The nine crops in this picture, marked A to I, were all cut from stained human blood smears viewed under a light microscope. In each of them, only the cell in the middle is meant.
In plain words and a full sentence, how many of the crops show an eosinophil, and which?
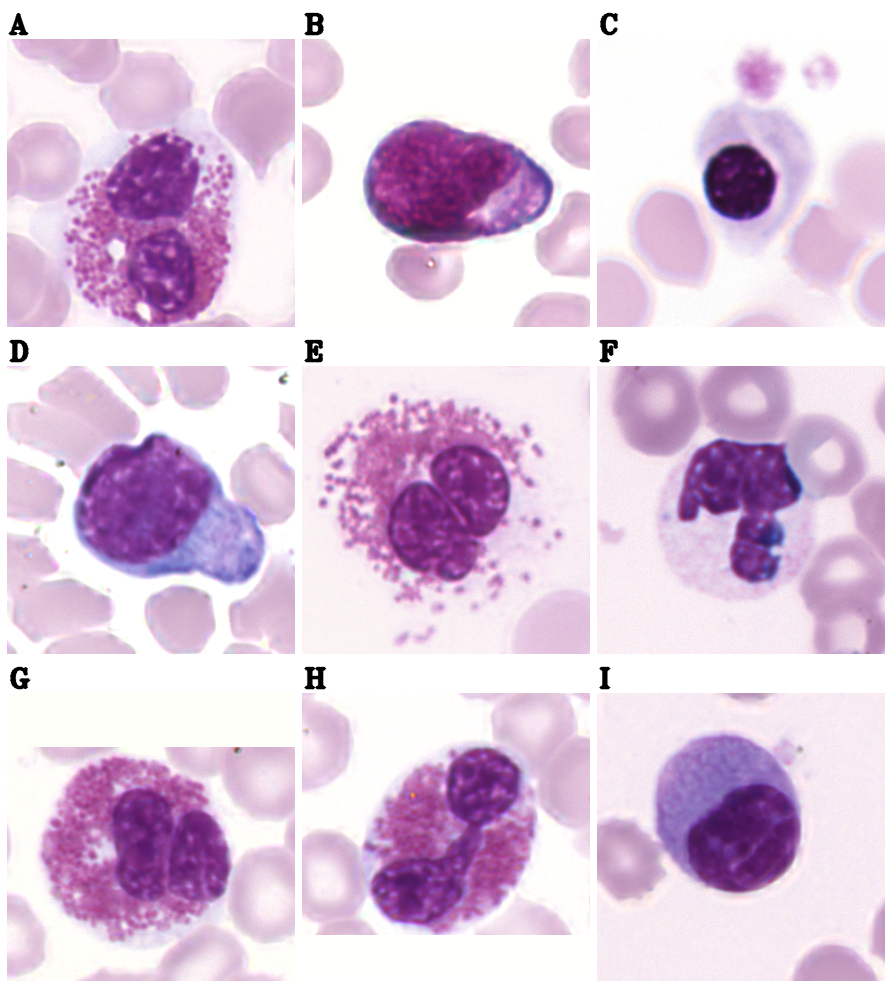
Total crops with eosinophils: four, namely A, E, G and H.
